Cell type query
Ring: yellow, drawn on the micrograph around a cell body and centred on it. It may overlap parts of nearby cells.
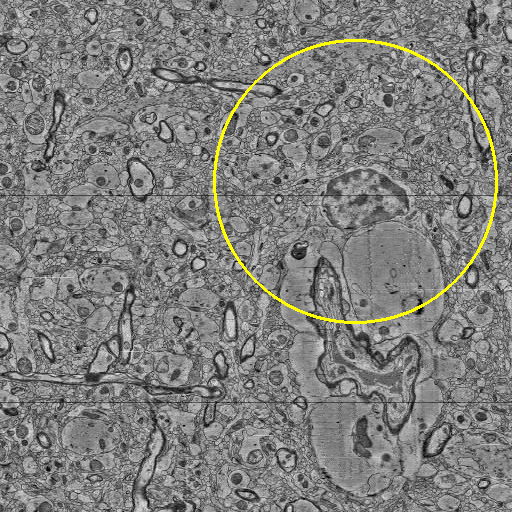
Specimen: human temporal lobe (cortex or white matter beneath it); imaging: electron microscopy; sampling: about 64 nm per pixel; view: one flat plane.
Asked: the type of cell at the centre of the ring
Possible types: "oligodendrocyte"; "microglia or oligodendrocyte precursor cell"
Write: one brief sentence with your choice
The ring marks a microglial cell or oligodendrocyte precursor cell.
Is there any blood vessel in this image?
Yes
